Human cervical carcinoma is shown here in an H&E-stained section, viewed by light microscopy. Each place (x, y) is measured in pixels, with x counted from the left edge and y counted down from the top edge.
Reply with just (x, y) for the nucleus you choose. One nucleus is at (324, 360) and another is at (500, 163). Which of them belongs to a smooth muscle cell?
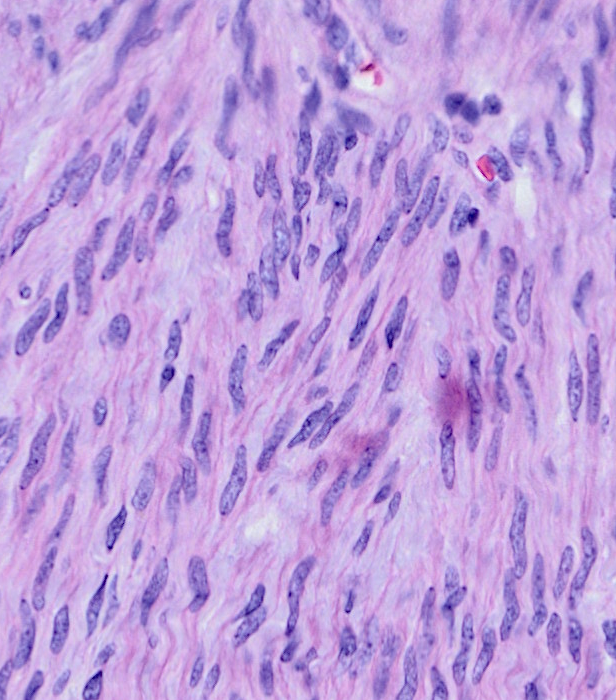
(324, 360)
